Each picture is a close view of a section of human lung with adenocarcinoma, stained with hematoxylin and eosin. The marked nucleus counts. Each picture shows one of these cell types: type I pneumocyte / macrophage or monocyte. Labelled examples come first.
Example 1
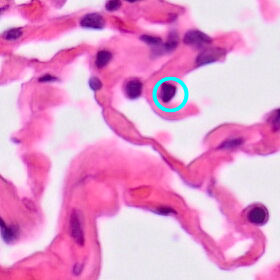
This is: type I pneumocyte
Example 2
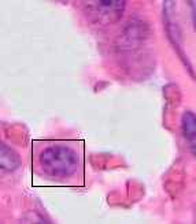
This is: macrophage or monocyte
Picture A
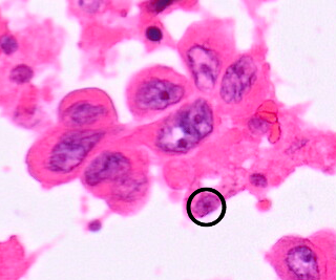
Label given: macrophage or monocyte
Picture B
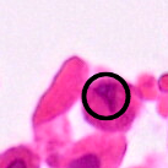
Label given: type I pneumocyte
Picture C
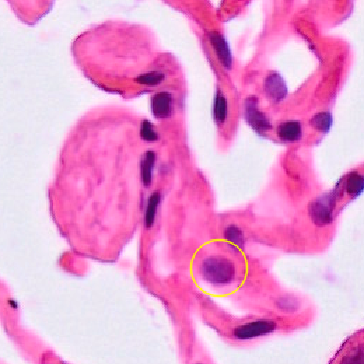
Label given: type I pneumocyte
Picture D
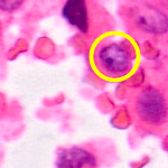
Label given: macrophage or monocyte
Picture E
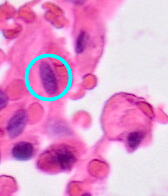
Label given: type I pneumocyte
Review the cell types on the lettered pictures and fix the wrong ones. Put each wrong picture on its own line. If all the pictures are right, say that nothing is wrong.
B: not type I pneumocyte but macrophage or monocyte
